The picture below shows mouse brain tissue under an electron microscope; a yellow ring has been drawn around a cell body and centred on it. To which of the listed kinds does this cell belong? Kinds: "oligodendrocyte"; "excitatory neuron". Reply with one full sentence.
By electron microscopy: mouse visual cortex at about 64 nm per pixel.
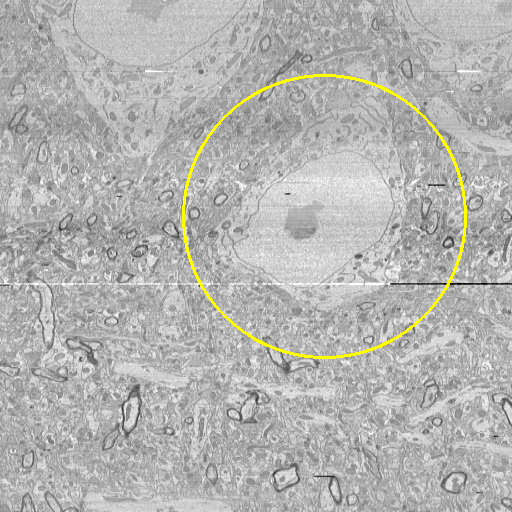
It is an excitatory neuron that the yellow ring in the picture is centred on.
